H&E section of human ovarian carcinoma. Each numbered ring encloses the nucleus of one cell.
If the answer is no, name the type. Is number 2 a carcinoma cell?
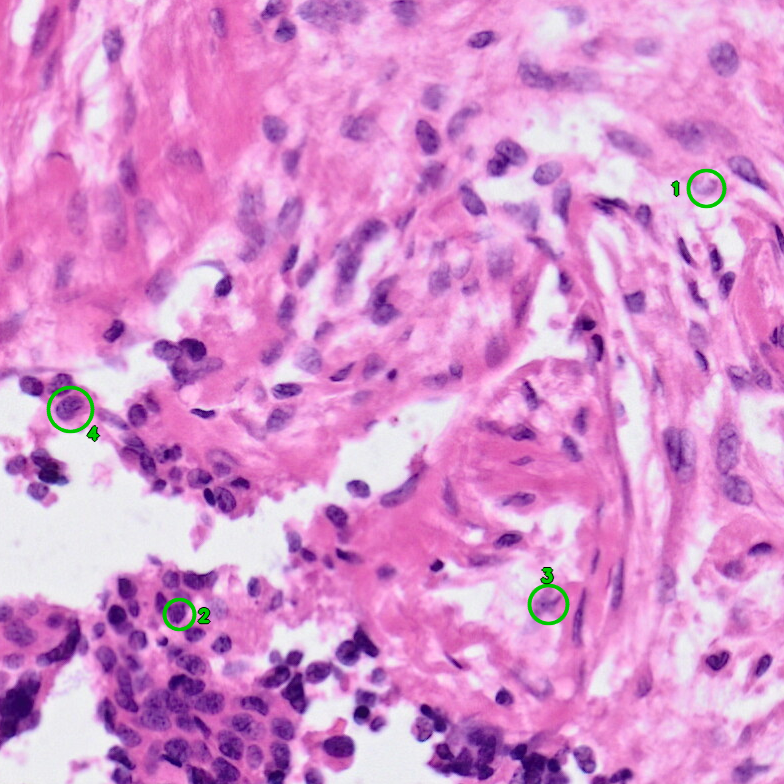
Yes.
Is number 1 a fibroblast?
Yes.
